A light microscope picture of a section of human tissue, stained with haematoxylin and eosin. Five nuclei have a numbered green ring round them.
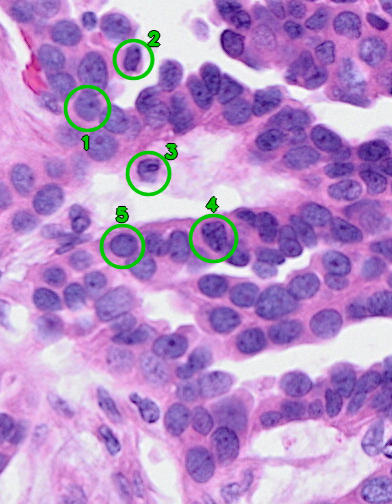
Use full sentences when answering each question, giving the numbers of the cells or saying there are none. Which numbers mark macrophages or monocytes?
Marked by the numbers 2 and 3 are cells that are macrophages or monocytes.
